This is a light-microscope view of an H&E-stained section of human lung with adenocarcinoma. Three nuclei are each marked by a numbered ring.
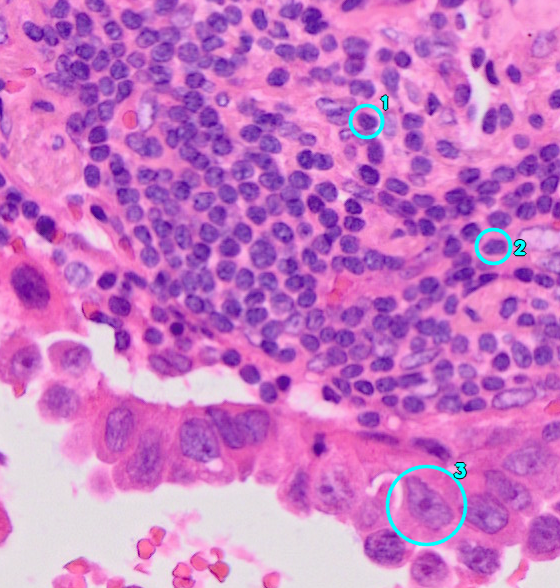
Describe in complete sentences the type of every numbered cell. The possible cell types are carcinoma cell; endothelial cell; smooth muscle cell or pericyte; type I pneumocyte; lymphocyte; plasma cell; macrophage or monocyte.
Cells 1 and 2 are lymphocytes. Cell 3 is a carcinoma cell.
